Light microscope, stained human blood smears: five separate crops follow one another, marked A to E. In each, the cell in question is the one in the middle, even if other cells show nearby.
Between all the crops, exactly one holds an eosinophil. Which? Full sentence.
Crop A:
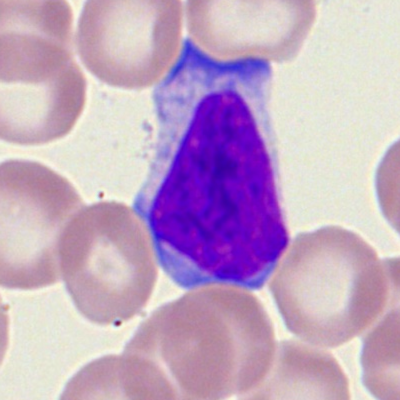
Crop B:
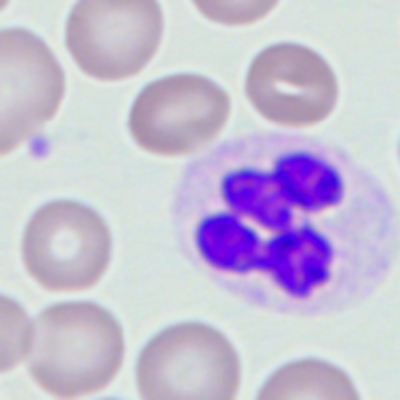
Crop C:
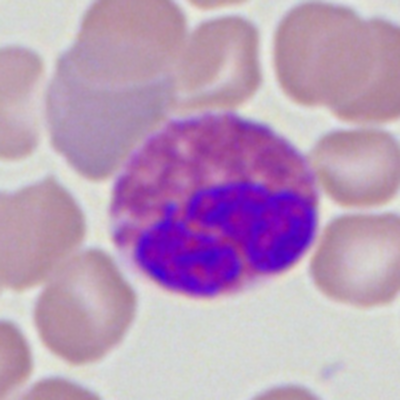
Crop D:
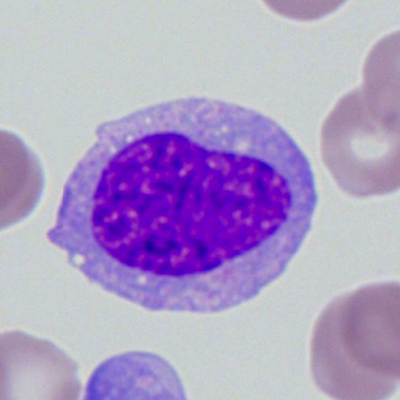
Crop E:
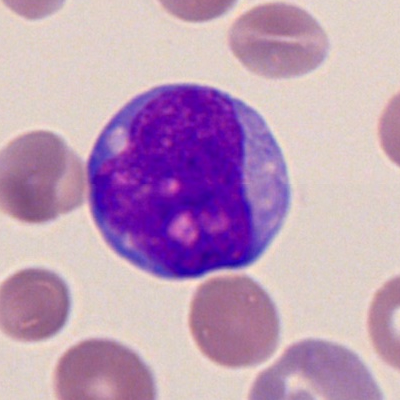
The sole crop showing an eosinophil is crop C.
